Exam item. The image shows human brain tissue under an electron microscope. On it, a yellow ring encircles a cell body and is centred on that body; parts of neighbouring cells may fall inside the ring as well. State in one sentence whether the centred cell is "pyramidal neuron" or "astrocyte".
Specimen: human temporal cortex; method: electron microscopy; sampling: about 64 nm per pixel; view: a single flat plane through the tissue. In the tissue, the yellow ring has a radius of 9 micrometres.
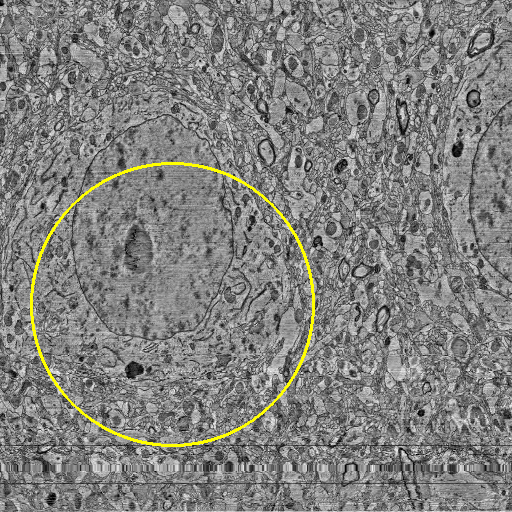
The cell body centred in the ring is a pyramidal neuron.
